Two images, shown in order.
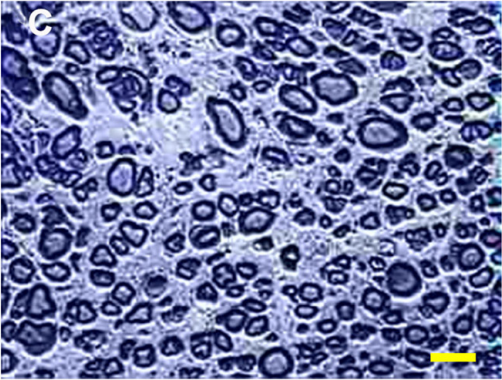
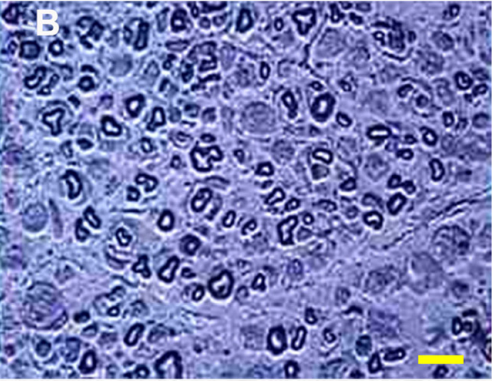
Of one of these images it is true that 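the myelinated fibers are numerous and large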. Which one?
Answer: The first image.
